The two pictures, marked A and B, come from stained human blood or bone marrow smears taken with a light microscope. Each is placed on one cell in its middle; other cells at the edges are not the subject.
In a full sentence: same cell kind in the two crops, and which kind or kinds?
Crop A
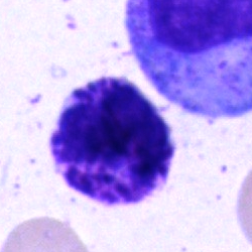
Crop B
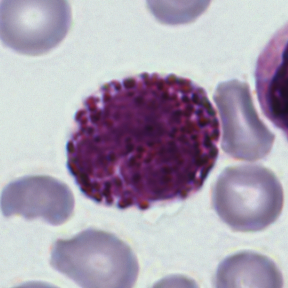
Yes, the cells under consideration in both crops are basophils.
